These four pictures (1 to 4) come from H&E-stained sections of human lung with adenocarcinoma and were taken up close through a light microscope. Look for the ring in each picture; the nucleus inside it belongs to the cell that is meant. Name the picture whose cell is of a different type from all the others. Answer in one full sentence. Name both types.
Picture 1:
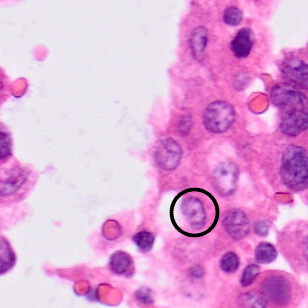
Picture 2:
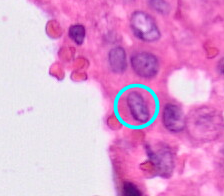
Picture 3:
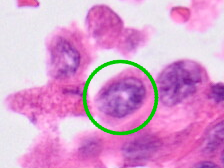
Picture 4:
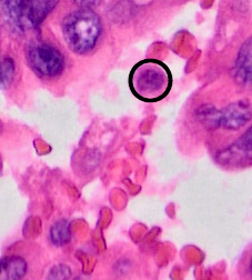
All pictures except 3 show “macrophages or monocytes”; picture 3 shows a carcinoma cell.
